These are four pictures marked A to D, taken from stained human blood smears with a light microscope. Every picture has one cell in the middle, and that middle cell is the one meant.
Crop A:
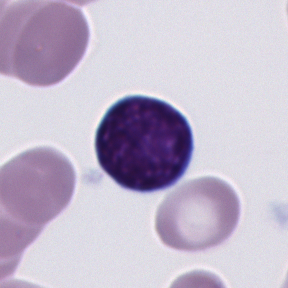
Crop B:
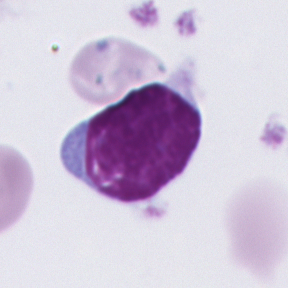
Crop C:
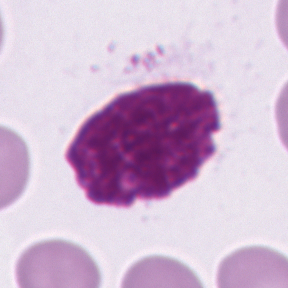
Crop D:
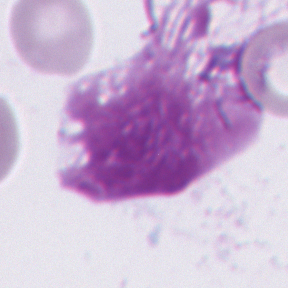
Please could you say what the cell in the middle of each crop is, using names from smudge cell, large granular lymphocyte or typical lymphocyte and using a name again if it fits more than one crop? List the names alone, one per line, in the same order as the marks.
typical lymphocyte
typical lymphocyte
smudge cell
smudge cell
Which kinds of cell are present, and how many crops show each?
typical lymphocyte: 2
smudge cell: 2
